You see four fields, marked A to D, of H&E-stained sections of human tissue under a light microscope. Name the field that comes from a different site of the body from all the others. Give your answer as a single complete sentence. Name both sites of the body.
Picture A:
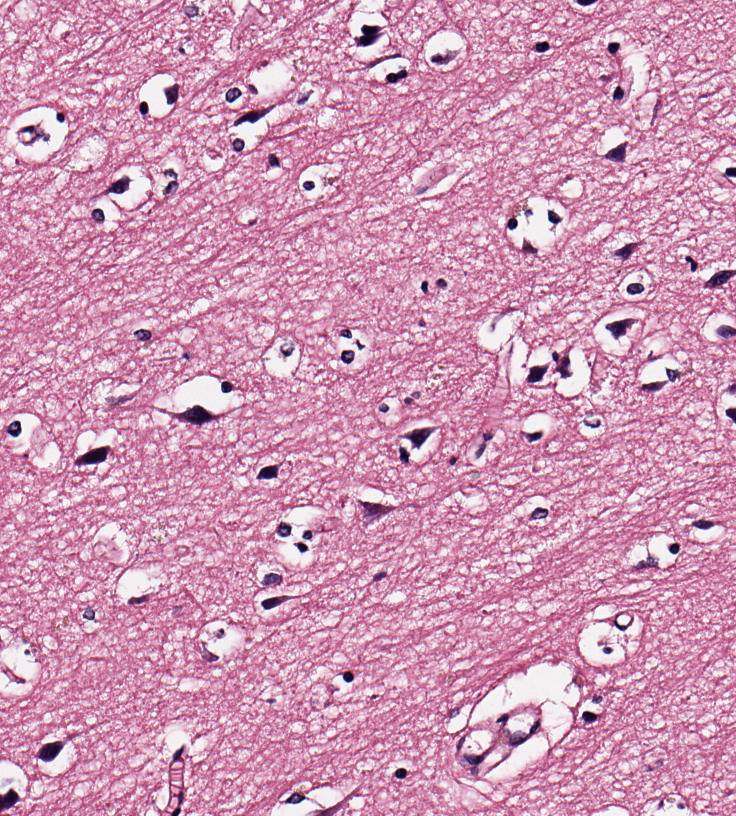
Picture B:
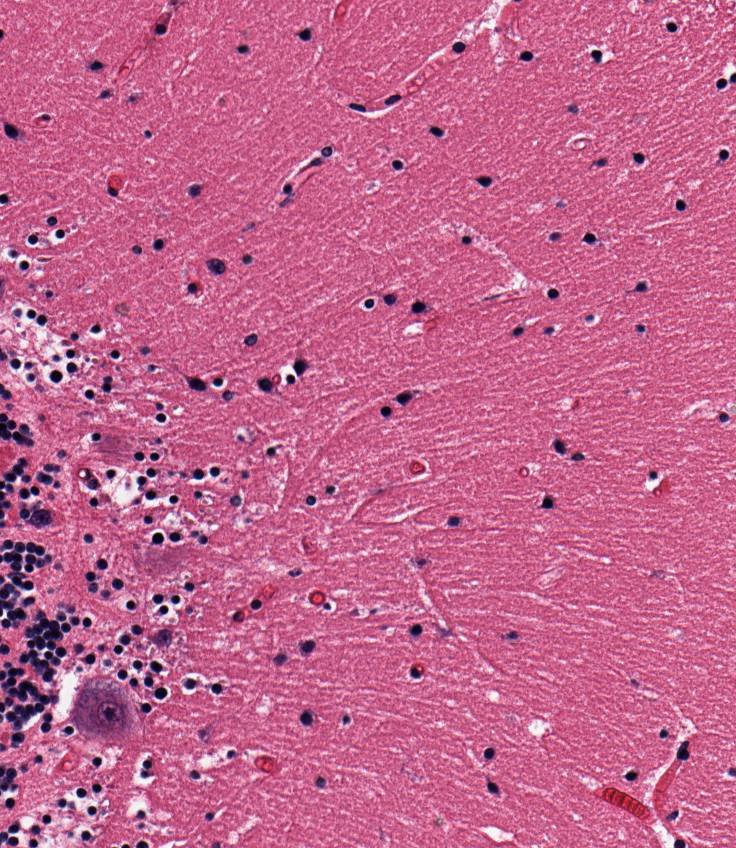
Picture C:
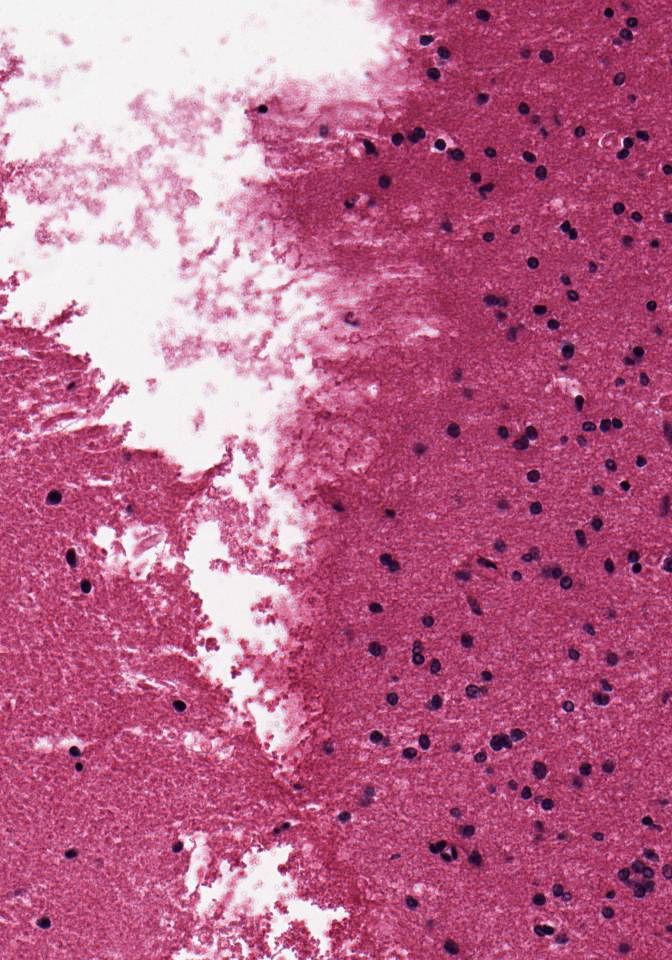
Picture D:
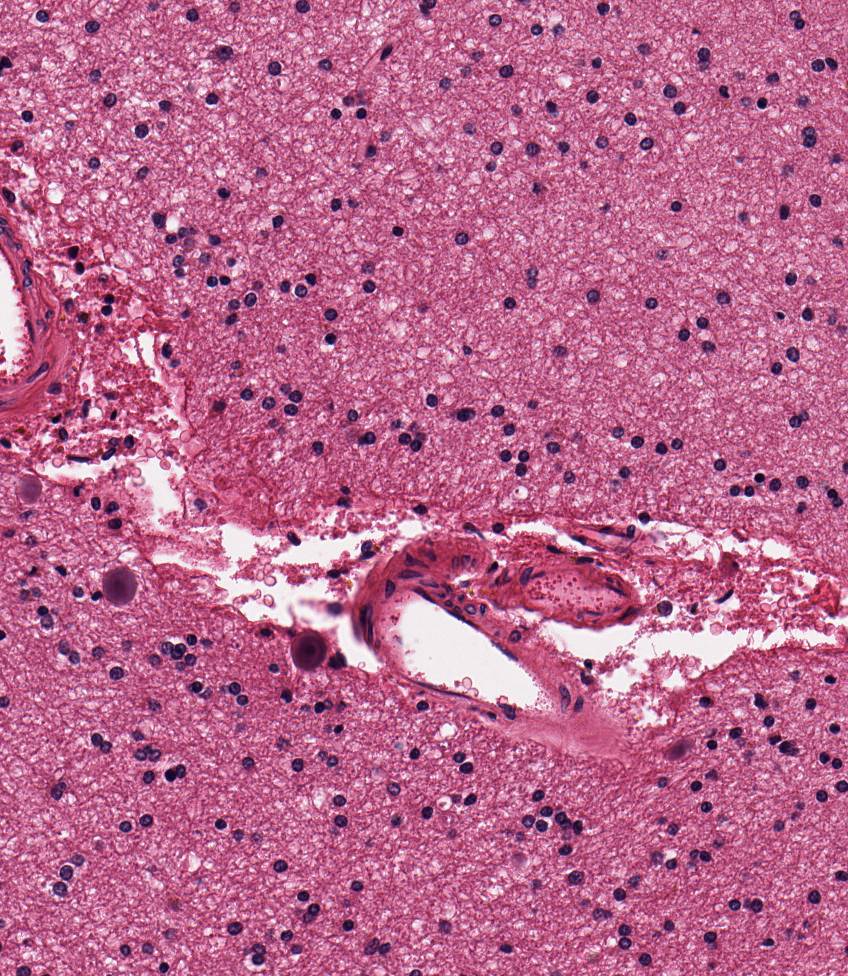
Picture B is the odd one out: it comes from the cerebellum, while the others come from the cerebral cortex.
